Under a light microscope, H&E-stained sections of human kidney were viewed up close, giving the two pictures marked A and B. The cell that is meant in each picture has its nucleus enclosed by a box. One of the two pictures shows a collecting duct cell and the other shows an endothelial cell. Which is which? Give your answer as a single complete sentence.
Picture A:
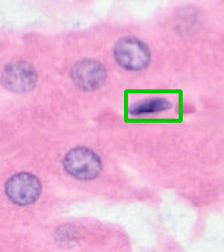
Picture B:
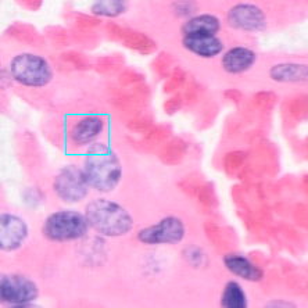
In picture A the cell is an endothelial cell; in picture B, a collecting duct cell.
